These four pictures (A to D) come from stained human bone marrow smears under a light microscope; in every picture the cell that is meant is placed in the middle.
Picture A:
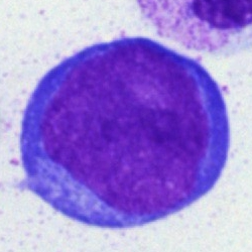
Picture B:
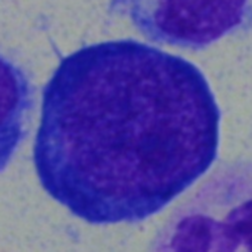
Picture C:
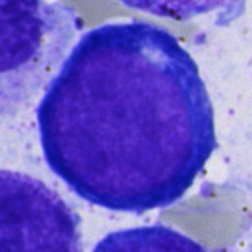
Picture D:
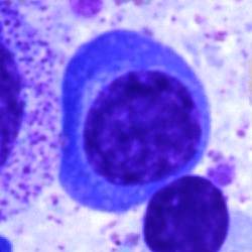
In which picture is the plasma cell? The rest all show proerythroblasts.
D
